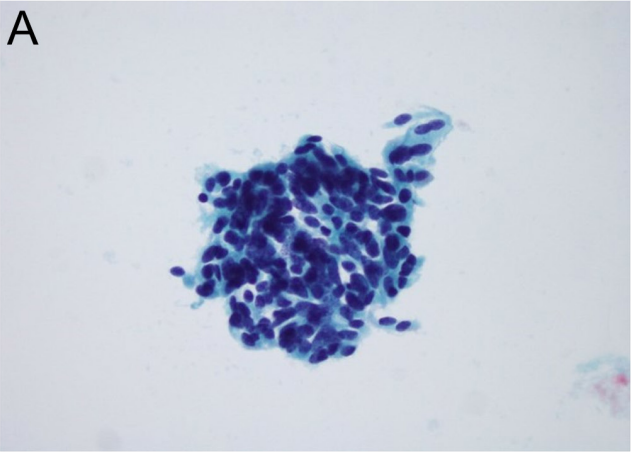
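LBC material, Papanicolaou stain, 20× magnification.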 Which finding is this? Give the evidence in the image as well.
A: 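Nuclei in the cluster stain dense dark blue. Nuclei are small and compact with little visible chromatin detail.
Hence: hyperchromatic, pyknotic nuclei.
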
